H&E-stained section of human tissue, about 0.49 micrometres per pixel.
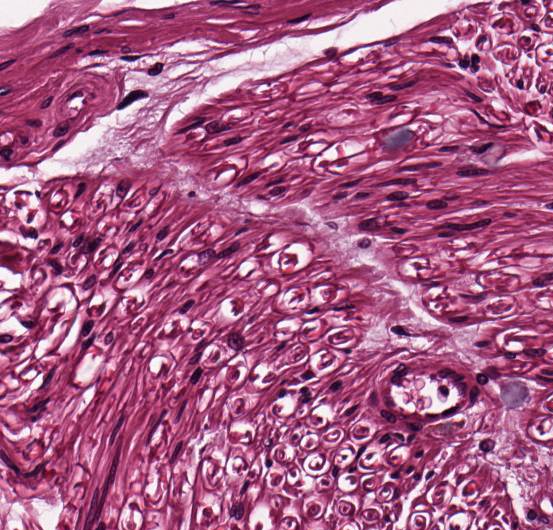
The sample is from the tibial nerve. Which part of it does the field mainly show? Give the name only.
nerve fascicle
